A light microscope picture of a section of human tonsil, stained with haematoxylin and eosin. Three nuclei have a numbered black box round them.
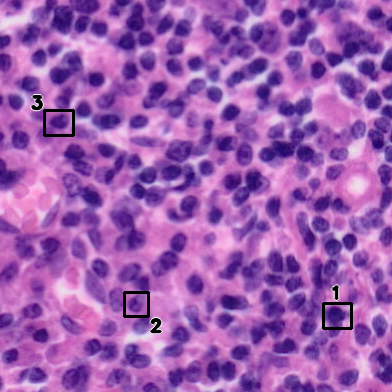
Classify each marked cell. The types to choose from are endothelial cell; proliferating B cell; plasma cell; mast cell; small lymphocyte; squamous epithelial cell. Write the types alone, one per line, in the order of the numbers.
small lymphocyte
plasma cell
plasma cell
